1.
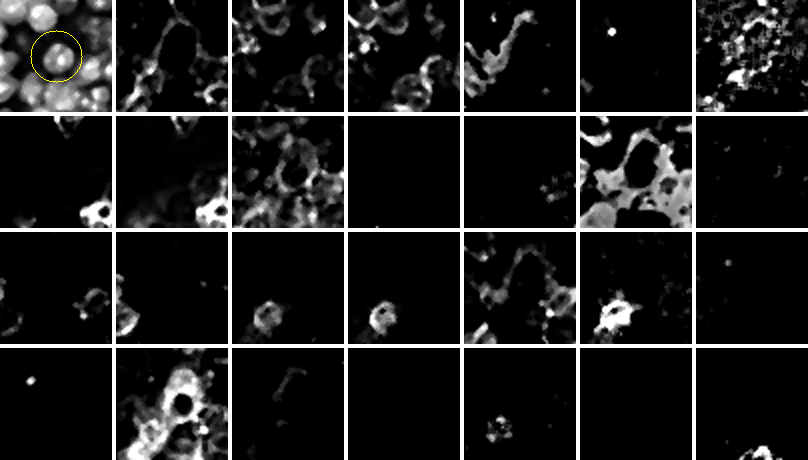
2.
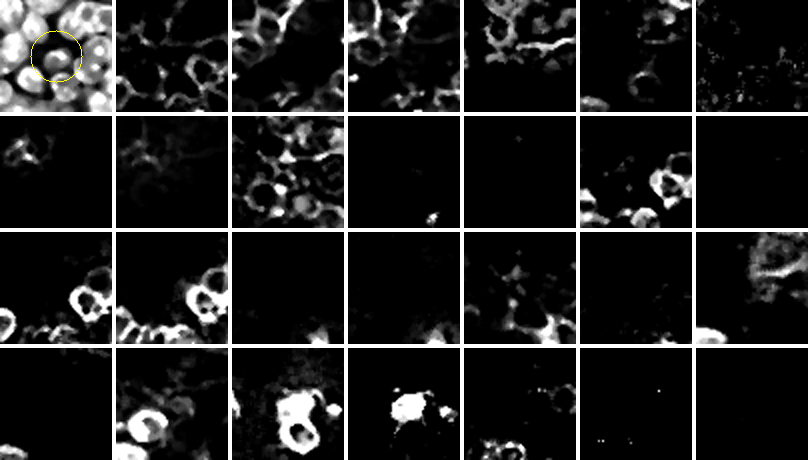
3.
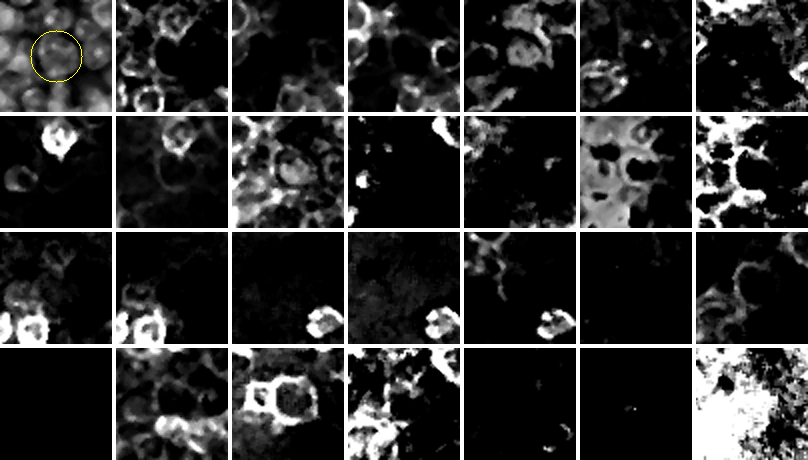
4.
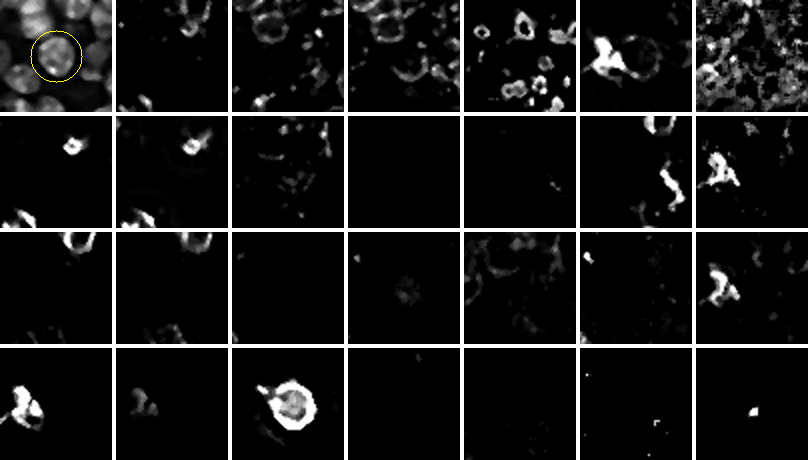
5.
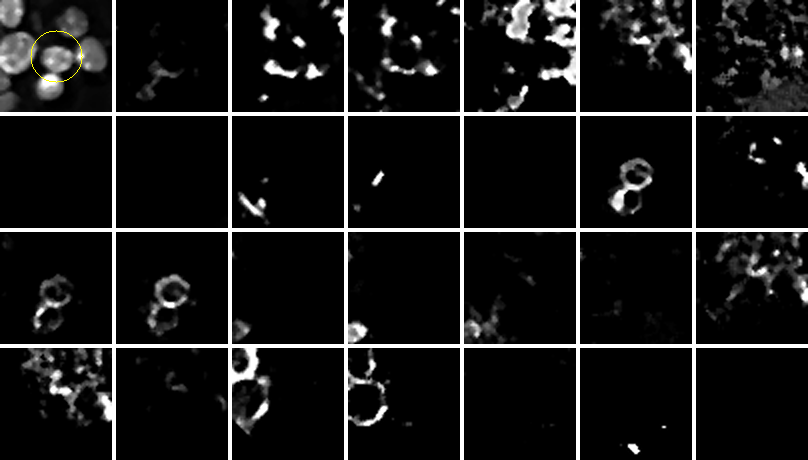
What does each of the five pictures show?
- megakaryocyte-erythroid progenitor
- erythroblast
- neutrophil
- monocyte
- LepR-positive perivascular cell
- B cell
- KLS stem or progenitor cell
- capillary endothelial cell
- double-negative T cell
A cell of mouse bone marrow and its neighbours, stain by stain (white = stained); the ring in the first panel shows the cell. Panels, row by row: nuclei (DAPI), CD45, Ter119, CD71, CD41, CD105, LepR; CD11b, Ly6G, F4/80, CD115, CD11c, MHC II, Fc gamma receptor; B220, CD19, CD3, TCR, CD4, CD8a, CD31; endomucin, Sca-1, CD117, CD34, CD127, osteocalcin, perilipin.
Picture 1: LepR-positive perivascular cell
Picture 2: KLS stem or progenitor cell
Picture 3: KLS stem or progenitor cell
Picture 4: megakaryocyte-erythroid progenitor
Picture 5: capillary endothelial cell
